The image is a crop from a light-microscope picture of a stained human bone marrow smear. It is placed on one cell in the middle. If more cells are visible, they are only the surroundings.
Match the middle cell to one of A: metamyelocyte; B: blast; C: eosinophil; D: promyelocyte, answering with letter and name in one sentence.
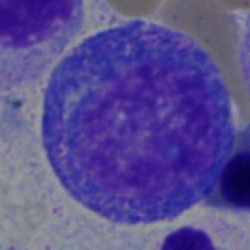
The best answer is option D, since the cell in the middle is a promyelocyte.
